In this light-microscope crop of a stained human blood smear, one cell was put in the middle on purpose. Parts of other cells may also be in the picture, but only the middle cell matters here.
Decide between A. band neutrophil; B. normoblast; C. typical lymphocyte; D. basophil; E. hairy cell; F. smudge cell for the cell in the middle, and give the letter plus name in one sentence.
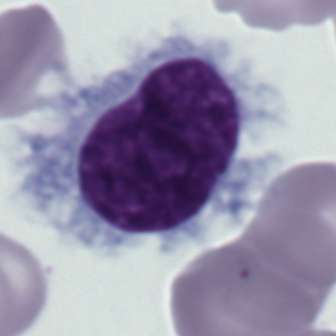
The cell in the centre of the crop is a hairy cell, so option E is the correct one.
